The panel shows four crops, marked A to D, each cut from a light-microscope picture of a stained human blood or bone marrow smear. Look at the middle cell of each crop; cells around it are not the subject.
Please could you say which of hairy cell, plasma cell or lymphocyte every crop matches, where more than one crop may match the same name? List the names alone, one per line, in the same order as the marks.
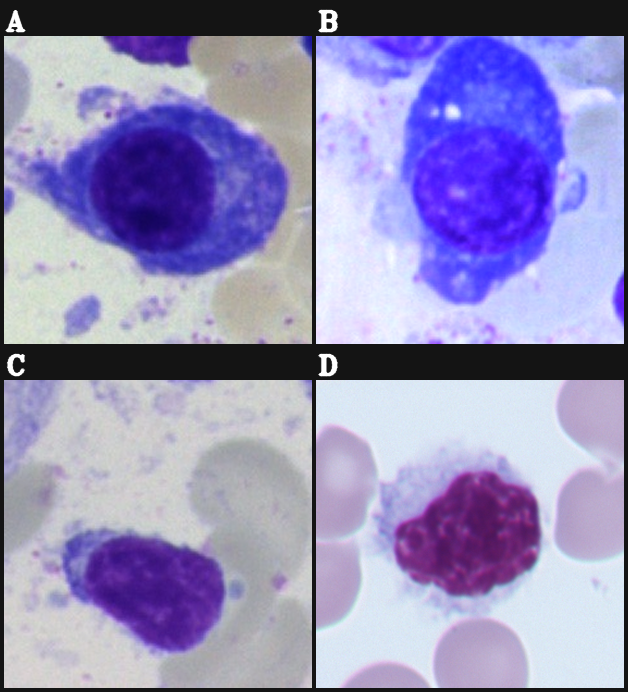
plasma cell
plasma cell
lymphocyte
hairy cell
